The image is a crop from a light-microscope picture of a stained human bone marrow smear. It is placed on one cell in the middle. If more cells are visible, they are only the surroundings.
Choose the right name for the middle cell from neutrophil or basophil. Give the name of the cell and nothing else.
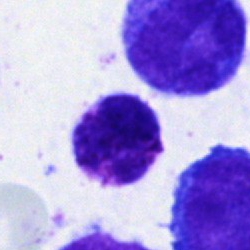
basophil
